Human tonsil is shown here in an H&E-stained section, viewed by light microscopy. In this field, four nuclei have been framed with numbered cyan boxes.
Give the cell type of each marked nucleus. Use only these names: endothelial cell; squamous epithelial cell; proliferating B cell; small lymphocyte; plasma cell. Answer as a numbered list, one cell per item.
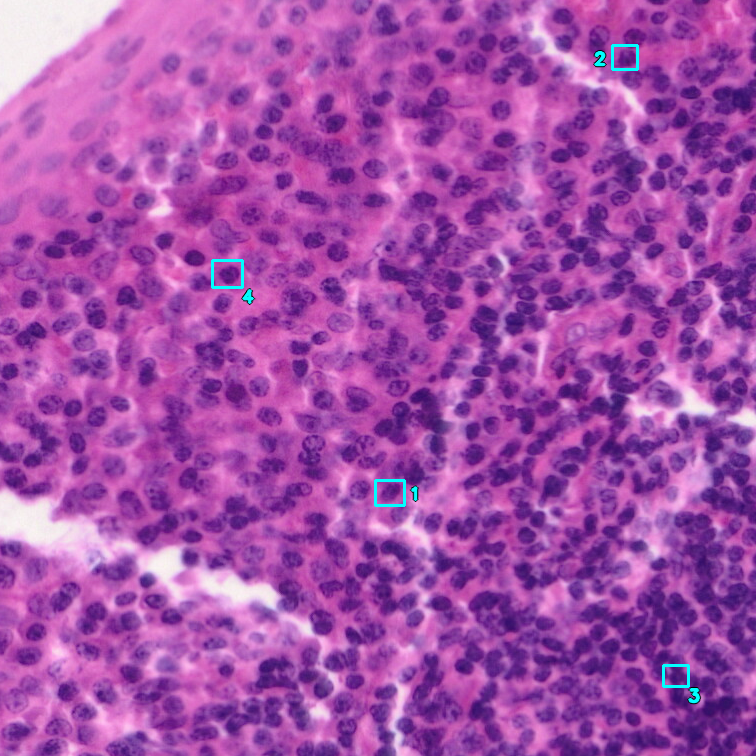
1. plasma cell
2. plasma cell
3. small lymphocyte
4. plasma cell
